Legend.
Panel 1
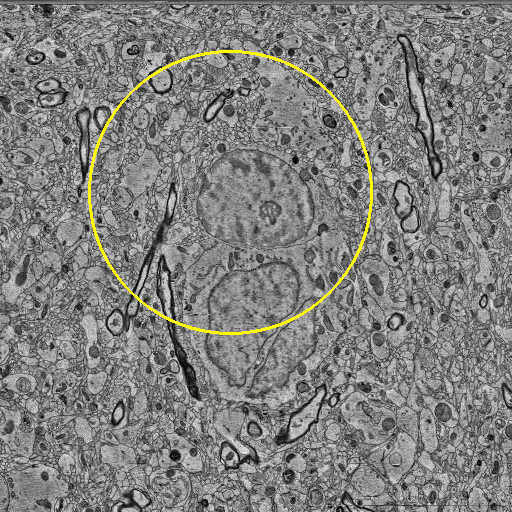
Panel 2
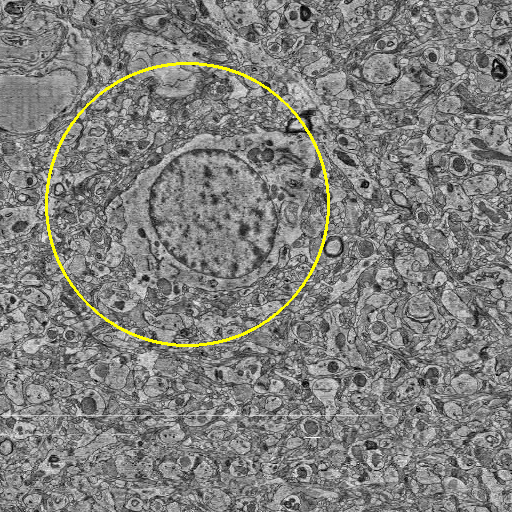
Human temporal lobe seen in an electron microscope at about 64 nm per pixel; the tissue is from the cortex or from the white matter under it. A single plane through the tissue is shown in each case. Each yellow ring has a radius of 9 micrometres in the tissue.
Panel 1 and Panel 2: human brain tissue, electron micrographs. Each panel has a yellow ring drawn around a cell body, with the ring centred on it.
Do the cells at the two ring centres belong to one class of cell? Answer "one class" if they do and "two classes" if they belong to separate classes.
two classes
